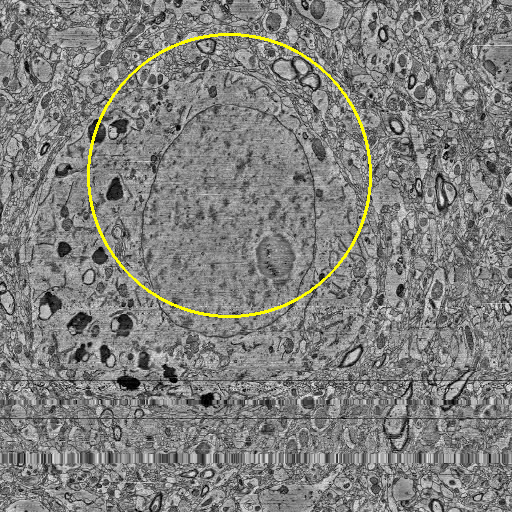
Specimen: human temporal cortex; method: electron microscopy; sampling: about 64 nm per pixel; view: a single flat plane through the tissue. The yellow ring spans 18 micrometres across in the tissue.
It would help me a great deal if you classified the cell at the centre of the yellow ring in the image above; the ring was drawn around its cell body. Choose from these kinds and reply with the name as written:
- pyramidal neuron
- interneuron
pyramidal neuron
